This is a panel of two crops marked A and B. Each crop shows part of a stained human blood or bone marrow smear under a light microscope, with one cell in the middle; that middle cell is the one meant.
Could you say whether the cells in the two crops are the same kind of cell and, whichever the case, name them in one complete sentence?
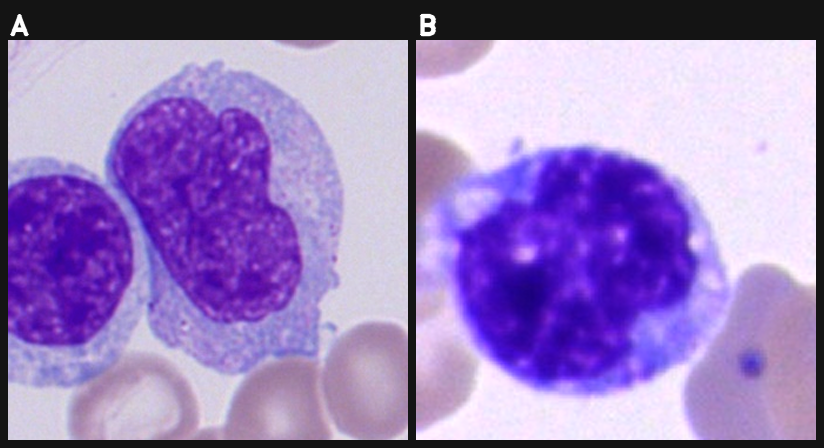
Yes, monocytes are the cells in the middle of both crops.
